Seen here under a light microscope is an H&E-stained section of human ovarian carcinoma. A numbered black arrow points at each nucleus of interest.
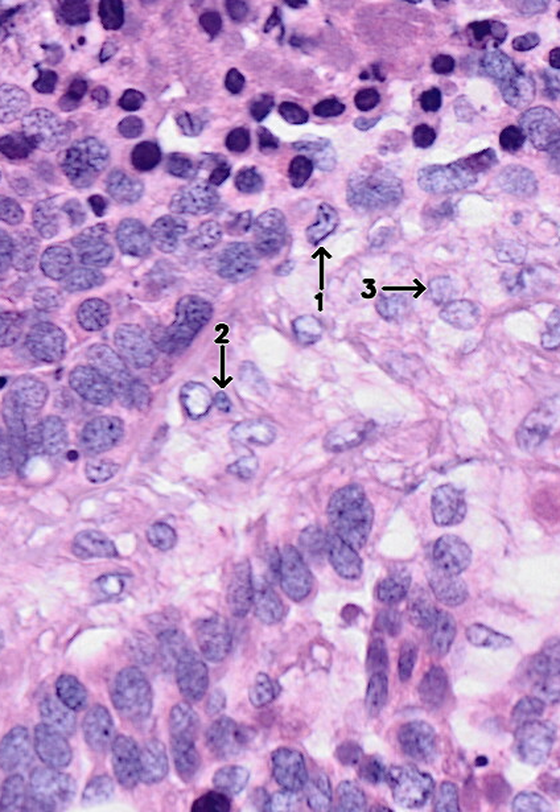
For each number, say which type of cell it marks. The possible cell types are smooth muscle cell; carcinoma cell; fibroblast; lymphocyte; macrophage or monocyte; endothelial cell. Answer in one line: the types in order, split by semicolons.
macrophage or monocyte; fibroblast; fibroblast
